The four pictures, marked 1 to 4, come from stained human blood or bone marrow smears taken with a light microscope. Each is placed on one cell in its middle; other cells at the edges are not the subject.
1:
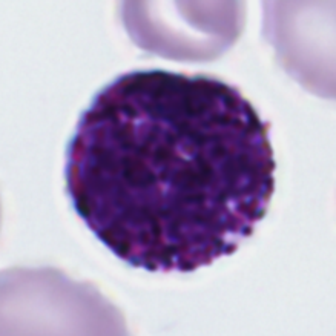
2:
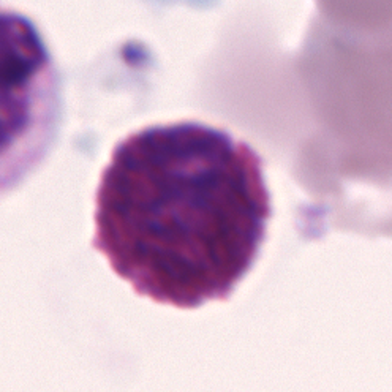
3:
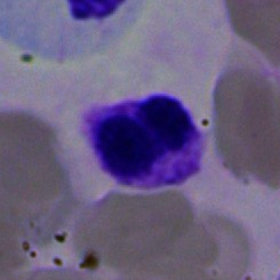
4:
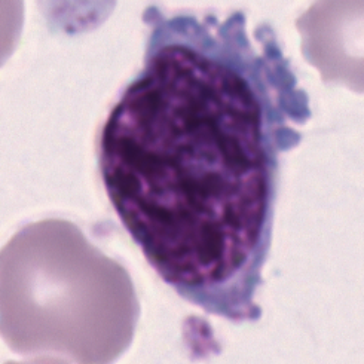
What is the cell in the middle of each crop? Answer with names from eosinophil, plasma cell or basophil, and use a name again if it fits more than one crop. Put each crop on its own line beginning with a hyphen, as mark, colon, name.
- 1: basophil
- 2: eosinophil
- 3: basophil
- 4: plasma cell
